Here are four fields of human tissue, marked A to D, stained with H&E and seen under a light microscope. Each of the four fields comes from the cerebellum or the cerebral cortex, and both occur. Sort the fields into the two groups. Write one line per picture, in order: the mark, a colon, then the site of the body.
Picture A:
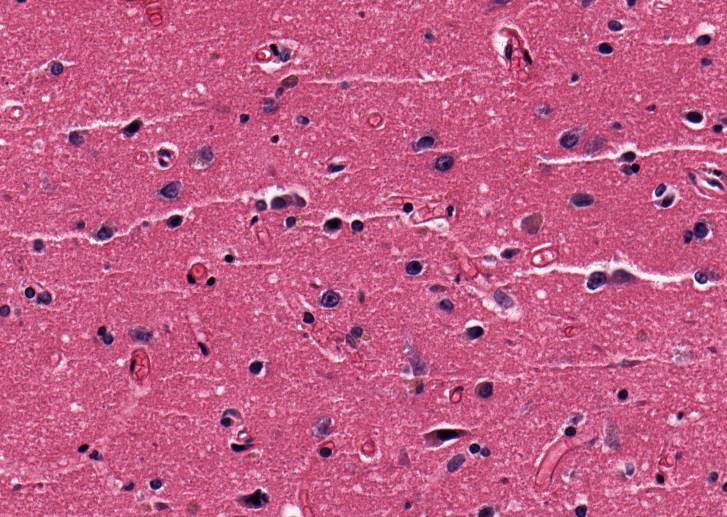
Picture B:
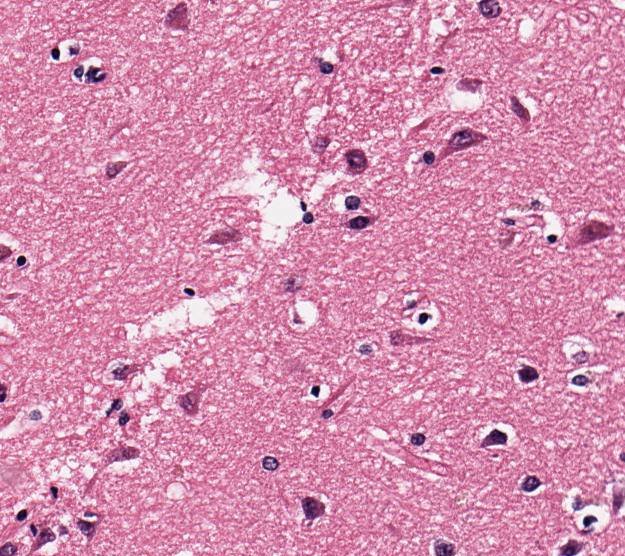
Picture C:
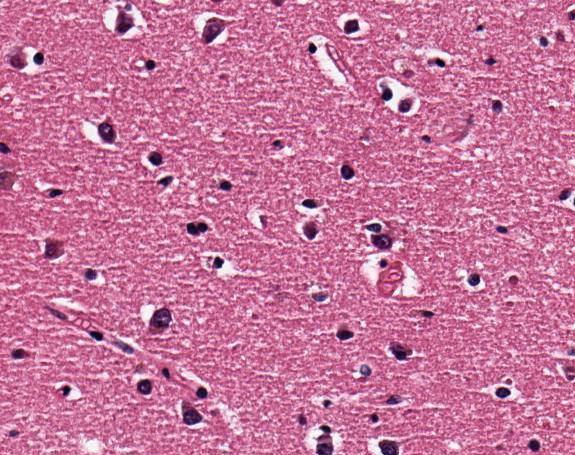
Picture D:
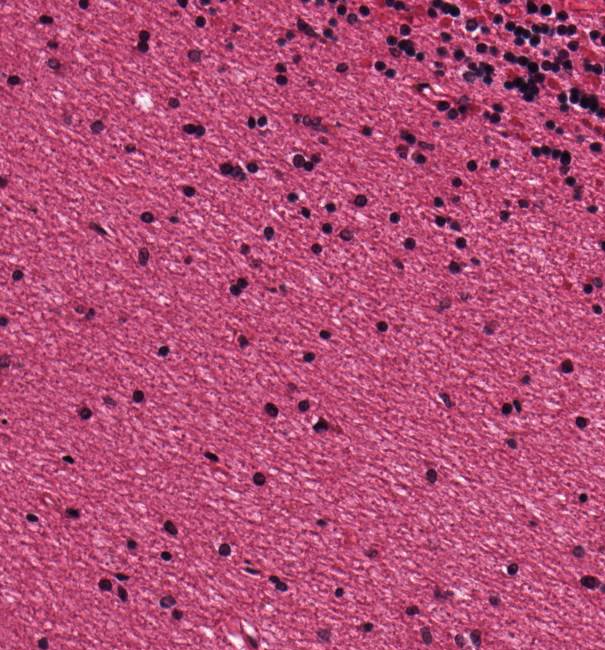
A: cerebral cortex
B: cerebral cortex
C: cerebral cortex
D: cerebellum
